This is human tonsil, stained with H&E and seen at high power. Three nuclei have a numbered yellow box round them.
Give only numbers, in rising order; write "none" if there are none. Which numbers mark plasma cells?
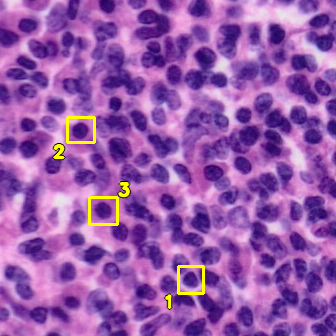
2, 3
